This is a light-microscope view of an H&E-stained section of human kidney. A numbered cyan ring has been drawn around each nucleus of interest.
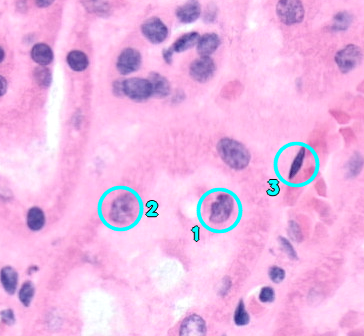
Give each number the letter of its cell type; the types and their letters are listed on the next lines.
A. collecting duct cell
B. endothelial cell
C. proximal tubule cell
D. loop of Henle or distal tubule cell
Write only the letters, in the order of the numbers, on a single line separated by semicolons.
C; C; B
